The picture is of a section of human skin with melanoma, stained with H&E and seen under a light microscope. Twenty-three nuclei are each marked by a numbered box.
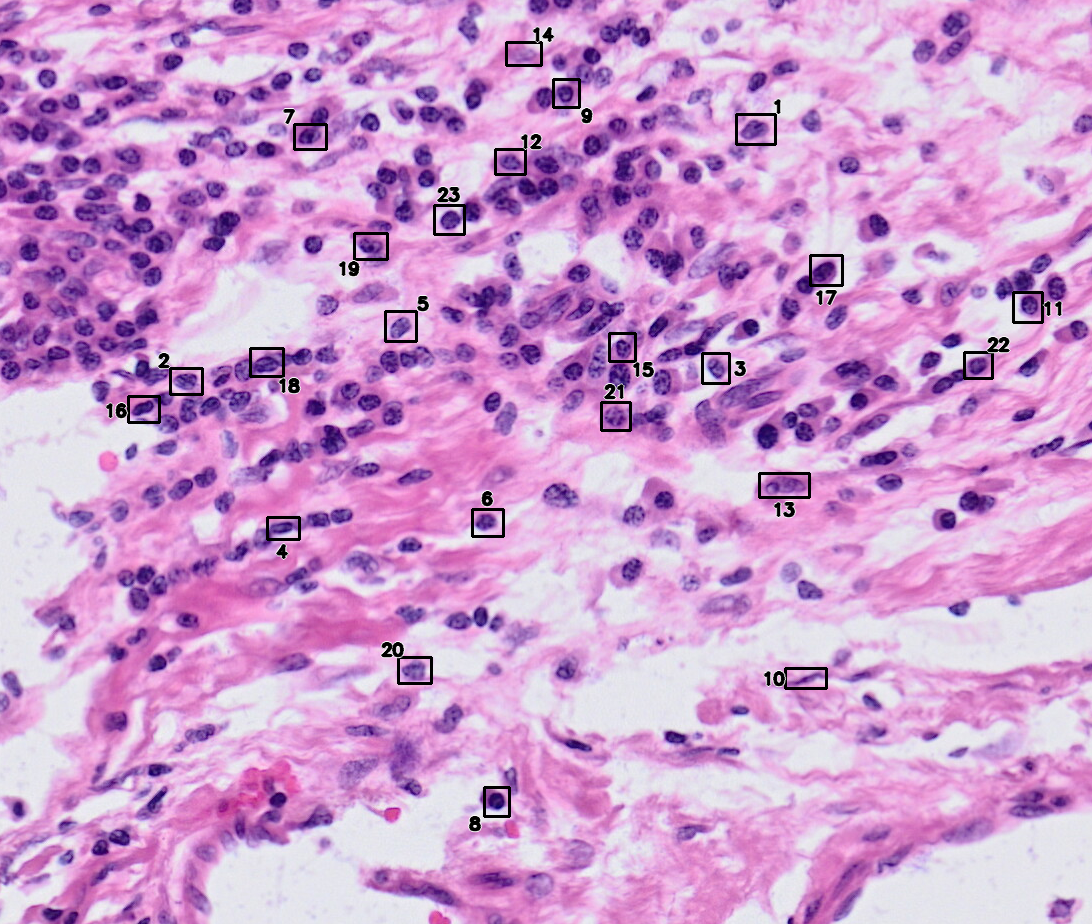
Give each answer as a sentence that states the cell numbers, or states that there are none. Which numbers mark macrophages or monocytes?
The only cell among those numbered to be a macrophage or monocyte is number 13.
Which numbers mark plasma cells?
Cells 3, 7, 8, 9, 11, 12, 15, 17, 19, 21 and 22 in the section are typed as plasma cells.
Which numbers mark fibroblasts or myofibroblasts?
The cells that bear the numbers 10 and 14 are fibroblasts or myofibroblasts.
